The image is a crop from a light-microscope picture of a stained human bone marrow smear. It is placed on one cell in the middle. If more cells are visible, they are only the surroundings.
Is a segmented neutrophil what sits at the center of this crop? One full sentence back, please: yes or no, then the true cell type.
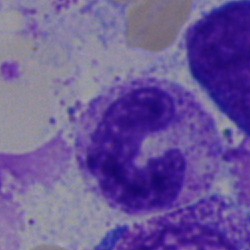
No, sorry, the middle cell is a band neutrophil rather than a segmented neutrophil.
